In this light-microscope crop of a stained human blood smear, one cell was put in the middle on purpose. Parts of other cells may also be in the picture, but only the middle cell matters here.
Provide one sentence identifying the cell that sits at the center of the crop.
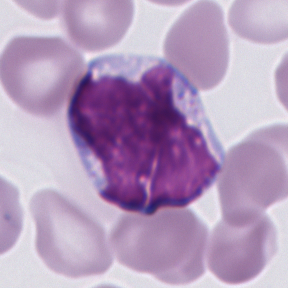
The cell sitting right in the middle is a large granular lymphocyte.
